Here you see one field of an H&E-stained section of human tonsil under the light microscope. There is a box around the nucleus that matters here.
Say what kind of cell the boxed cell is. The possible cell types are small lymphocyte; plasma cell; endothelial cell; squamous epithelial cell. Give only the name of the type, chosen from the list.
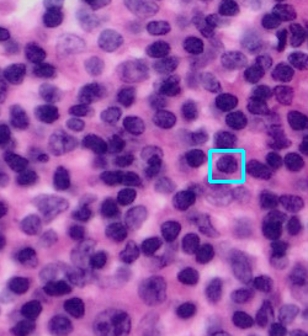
small lymphocyte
